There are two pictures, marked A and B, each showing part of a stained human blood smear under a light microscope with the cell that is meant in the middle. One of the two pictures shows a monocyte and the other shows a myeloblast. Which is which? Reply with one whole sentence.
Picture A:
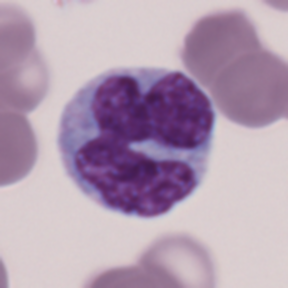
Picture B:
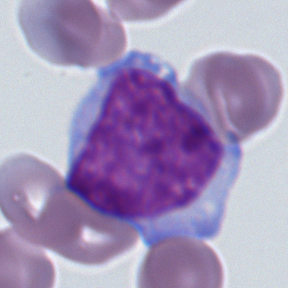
In picture A the cell is a monocyte; in picture B, a myeloblast.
